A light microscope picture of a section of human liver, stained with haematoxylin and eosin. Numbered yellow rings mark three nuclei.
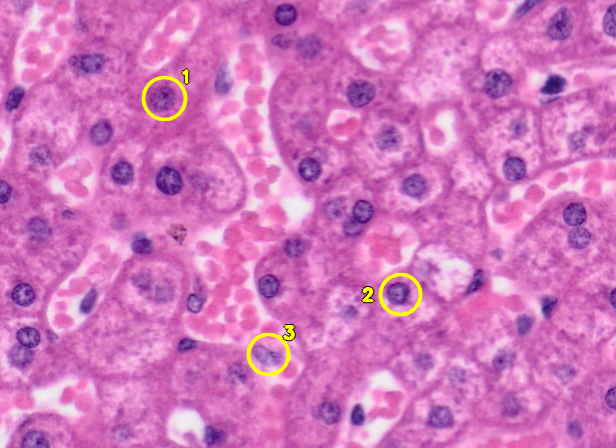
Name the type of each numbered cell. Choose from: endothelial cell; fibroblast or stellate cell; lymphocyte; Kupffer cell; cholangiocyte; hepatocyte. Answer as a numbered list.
1. hepatocyte
2. hepatocyte
3. Kupffer cell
